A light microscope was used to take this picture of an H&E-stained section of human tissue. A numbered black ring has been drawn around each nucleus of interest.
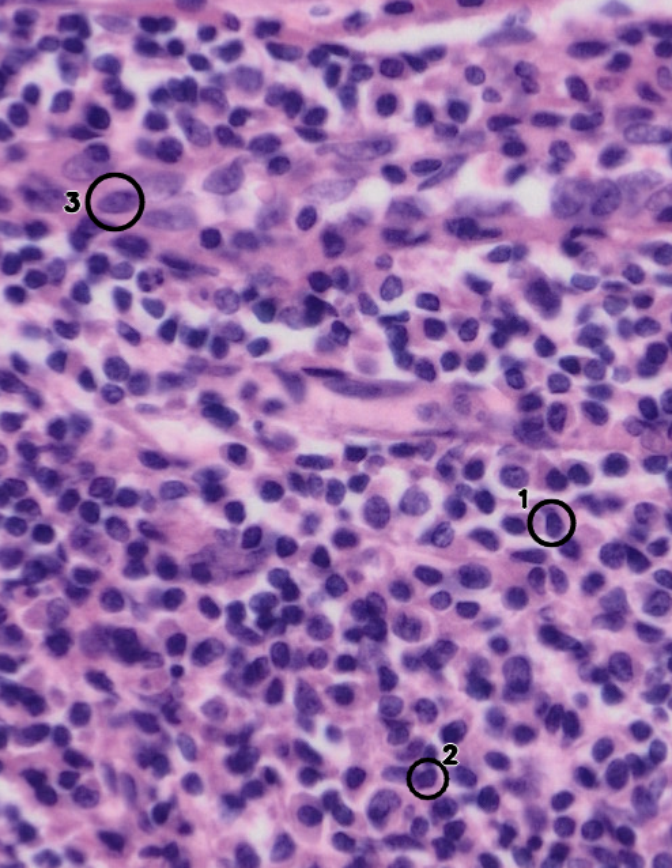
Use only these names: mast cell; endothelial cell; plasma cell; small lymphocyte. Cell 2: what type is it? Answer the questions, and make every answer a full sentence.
The cell whose nucleus carries the number 2 is a small lymphocyte.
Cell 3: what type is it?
The cell indicated by marker 3 is an endothelial cell in this section.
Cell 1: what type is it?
The numbered cell 1 in this field is a plasma cell.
